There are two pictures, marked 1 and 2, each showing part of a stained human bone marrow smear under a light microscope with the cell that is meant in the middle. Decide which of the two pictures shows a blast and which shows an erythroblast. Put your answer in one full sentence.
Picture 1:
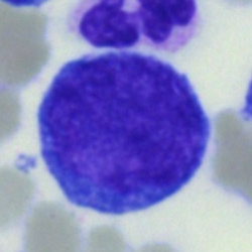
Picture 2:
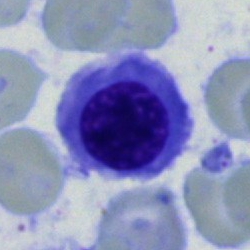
In picture 1 the cell is a blast; in picture 2, an erythroblast.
